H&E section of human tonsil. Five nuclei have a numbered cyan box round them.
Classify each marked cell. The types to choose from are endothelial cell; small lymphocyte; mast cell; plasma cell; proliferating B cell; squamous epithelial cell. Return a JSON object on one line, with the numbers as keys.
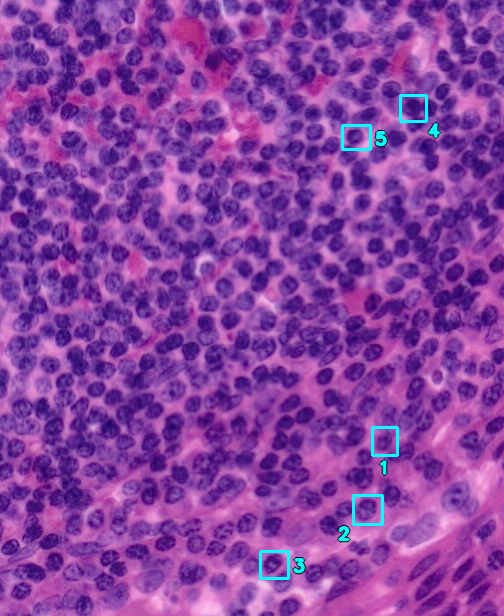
{"1": "plasma cell", "2": "plasma cell", "3": "plasma cell", "4": "small lymphocyte", "5": "small lymphocyte"}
